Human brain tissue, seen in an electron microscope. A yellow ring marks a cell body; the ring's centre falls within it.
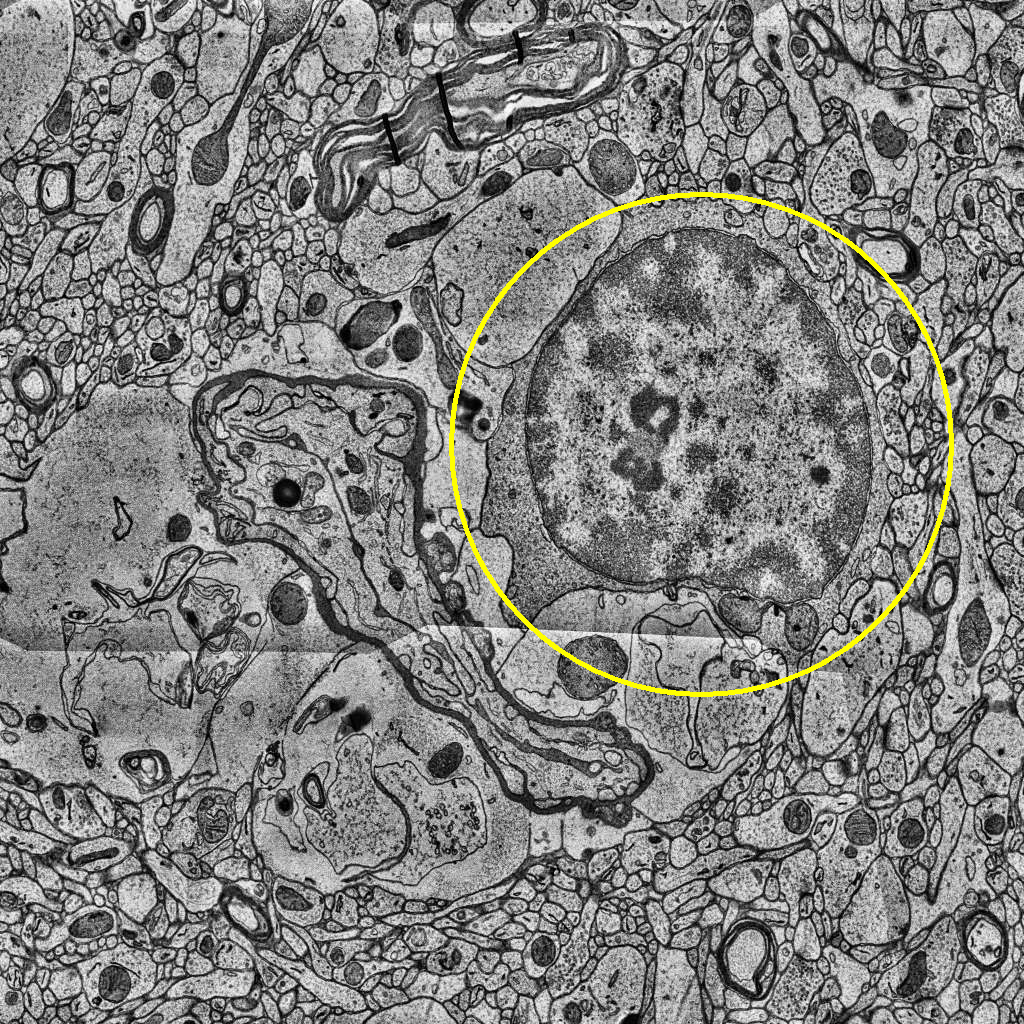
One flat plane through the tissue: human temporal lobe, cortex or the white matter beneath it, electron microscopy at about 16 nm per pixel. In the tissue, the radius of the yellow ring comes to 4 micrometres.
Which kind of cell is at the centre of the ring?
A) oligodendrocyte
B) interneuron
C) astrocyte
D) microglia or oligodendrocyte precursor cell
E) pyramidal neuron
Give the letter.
A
